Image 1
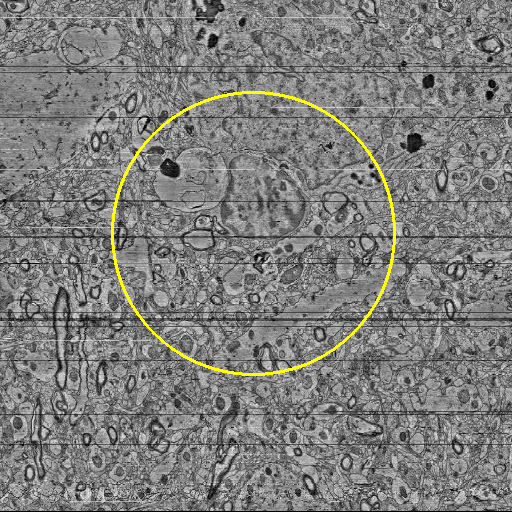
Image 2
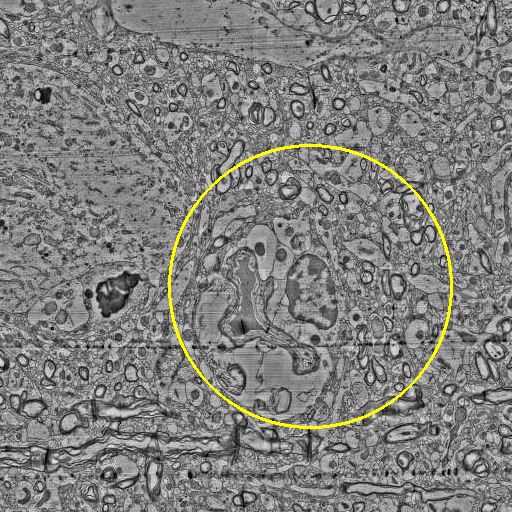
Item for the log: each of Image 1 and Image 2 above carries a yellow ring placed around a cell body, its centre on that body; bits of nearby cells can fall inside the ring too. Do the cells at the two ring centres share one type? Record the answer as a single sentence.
No, the two cells at the ring centres in Image 1 and Image 2 are of two types.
